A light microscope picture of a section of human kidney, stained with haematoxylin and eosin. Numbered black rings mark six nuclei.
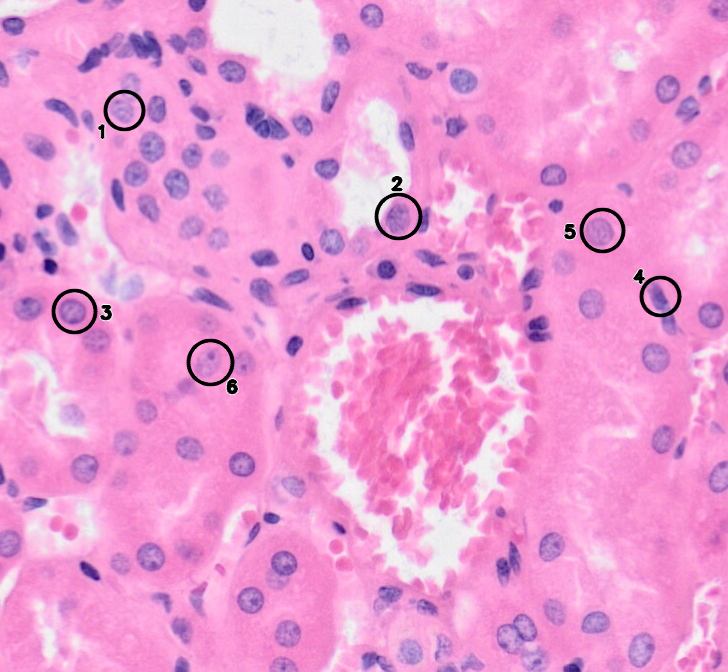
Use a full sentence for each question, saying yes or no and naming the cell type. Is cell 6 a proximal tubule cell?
Yes, the numbered nucleus 6 is that of a proximal tubule cell.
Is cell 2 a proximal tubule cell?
No, cell 2 is not a proximal tubule cell; a loop of Henle or distal tubule cell is correct.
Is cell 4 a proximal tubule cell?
No, a proximal tubule cell is not what cell 4 is; it is an endothelial cell.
